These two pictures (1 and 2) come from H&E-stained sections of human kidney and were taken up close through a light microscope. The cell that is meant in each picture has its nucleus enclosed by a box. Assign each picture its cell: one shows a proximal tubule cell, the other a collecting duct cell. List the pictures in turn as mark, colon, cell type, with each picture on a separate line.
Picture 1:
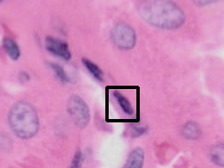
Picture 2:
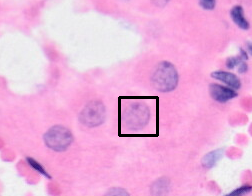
1: collecting duct cell
2: proximal tubule cell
